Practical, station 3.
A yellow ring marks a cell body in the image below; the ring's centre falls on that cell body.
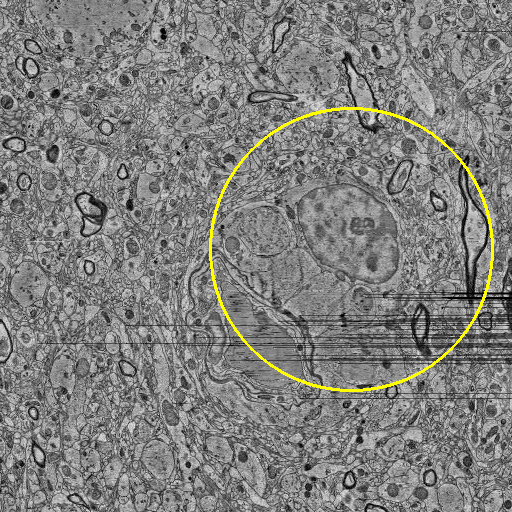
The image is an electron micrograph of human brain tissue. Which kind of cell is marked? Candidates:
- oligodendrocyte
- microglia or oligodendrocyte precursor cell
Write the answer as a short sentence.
The marked cell body is that of an oligodendrocyte.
